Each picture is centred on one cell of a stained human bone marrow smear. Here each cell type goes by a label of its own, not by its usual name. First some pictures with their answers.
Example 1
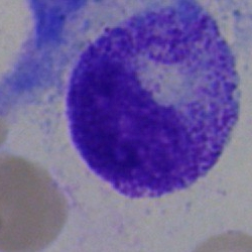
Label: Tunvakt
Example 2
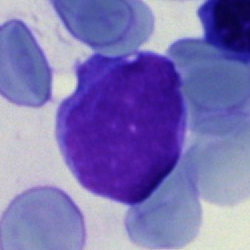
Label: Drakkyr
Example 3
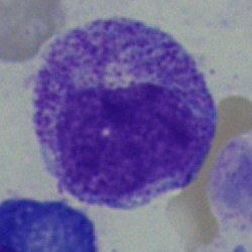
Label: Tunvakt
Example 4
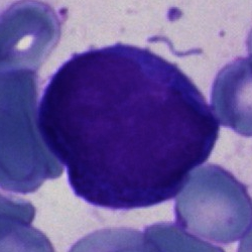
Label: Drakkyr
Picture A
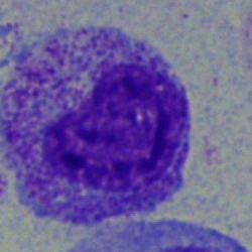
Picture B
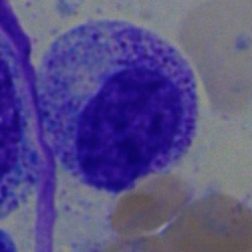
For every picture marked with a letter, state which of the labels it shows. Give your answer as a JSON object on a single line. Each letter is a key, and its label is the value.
{"A": "Tunvakt", "B": "Tunvakt"}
